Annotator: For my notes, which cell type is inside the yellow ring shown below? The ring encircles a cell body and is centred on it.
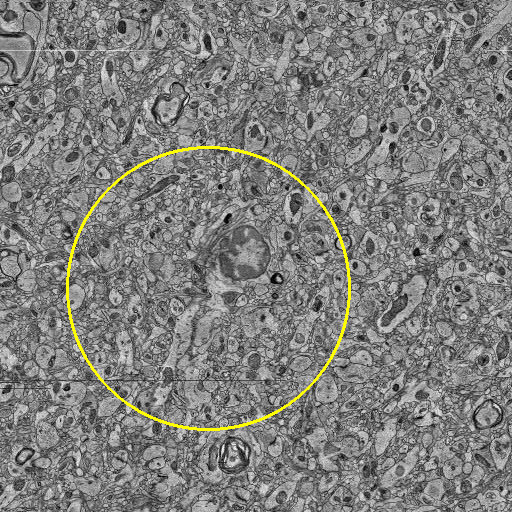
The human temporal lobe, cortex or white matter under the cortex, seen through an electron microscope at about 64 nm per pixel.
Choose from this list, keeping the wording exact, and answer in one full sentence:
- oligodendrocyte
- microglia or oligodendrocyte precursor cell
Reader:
At the centre of the yellow ring there is a microglial cell or oligodendrocyte precursor cell, as shown in the picture.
